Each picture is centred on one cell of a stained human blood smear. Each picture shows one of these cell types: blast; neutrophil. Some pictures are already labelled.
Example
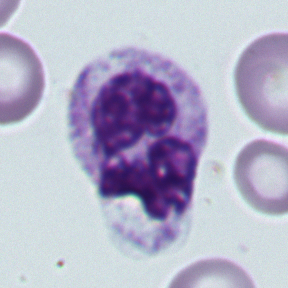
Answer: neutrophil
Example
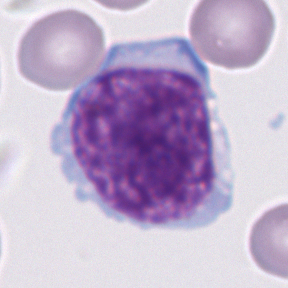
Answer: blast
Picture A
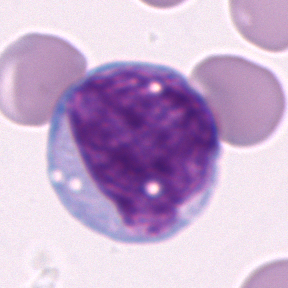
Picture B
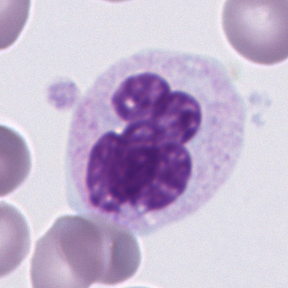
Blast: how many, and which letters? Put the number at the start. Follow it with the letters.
1, namely A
